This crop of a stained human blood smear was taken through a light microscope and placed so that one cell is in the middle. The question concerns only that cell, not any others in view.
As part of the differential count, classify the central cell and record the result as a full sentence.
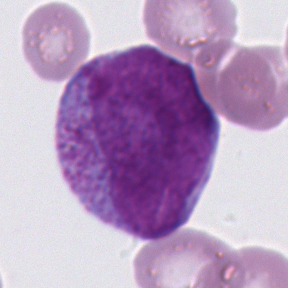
The cell occupying the middle of the crop is a promyelocyte.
